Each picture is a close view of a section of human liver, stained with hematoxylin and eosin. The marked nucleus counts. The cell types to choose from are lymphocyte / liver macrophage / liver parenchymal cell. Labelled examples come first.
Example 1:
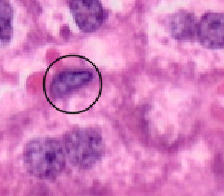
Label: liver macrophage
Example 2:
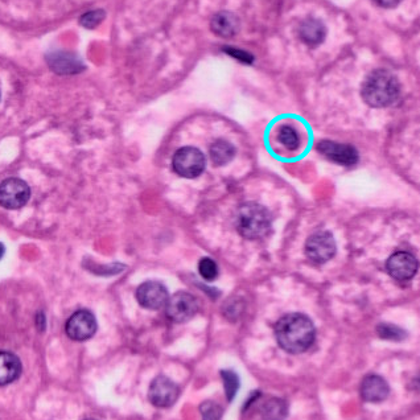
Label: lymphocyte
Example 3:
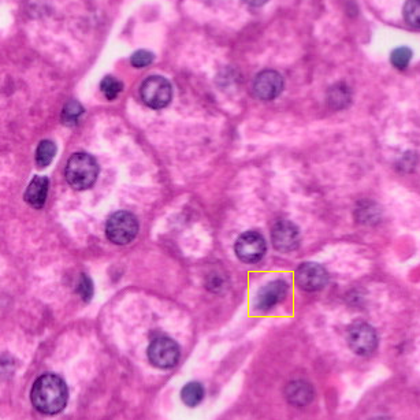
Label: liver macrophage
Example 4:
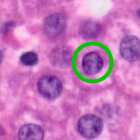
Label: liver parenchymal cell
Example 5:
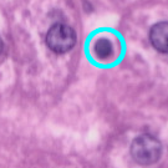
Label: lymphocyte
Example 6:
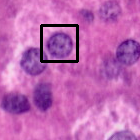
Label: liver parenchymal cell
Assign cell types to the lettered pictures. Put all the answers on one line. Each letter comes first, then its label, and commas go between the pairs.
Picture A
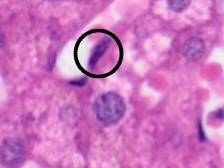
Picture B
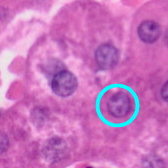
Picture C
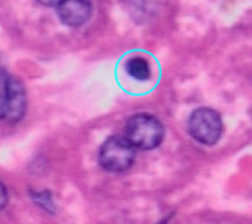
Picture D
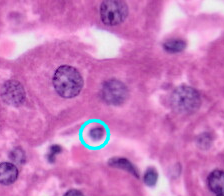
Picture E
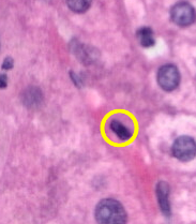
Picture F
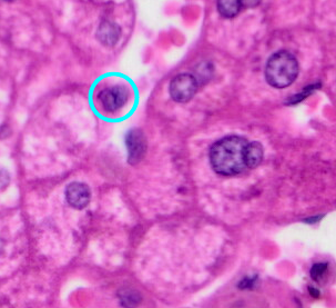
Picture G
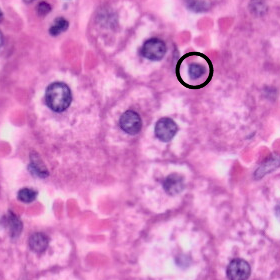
A liver macrophage, B liver parenchymal cell, C lymphocyte, D lymphocyte, E lymphocyte, F liver macrophage, G lymphocyte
